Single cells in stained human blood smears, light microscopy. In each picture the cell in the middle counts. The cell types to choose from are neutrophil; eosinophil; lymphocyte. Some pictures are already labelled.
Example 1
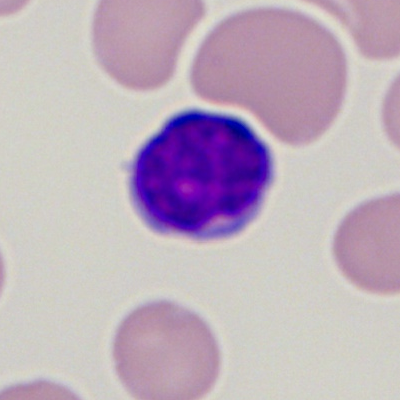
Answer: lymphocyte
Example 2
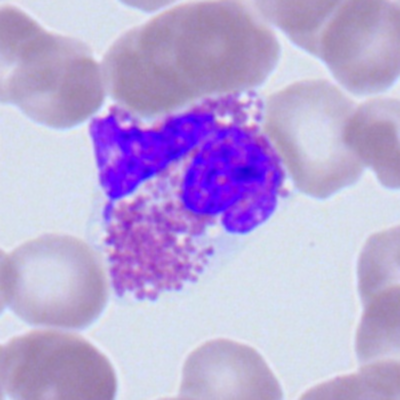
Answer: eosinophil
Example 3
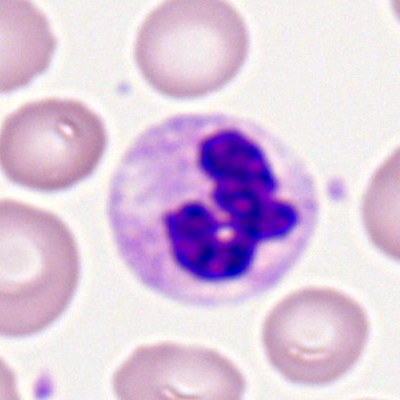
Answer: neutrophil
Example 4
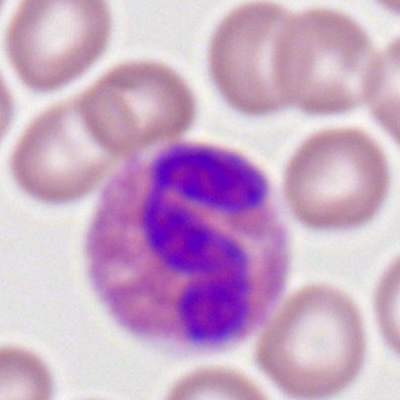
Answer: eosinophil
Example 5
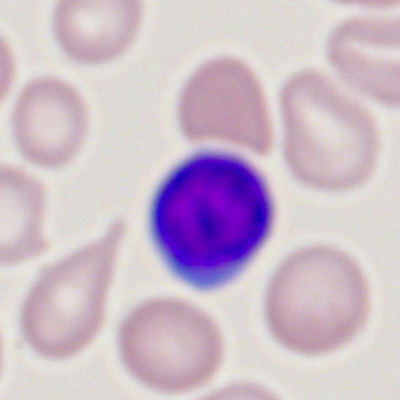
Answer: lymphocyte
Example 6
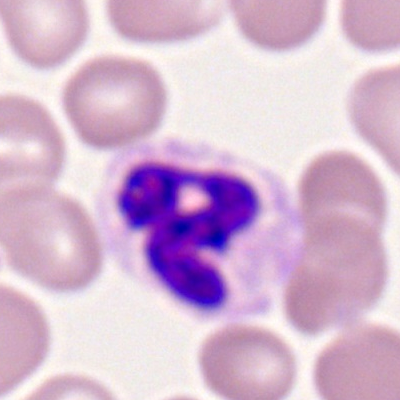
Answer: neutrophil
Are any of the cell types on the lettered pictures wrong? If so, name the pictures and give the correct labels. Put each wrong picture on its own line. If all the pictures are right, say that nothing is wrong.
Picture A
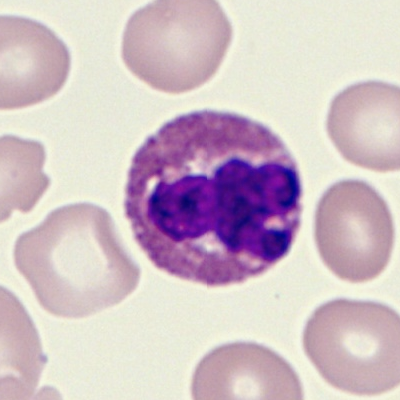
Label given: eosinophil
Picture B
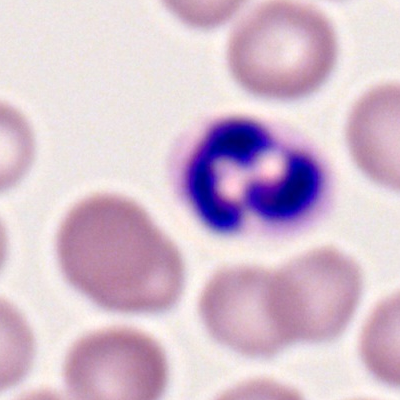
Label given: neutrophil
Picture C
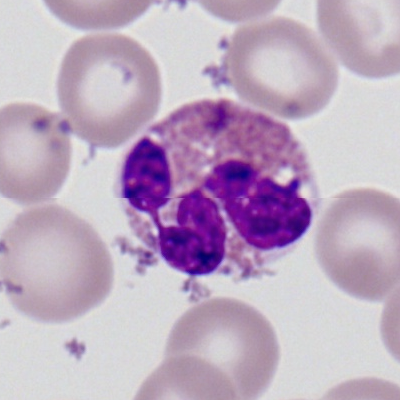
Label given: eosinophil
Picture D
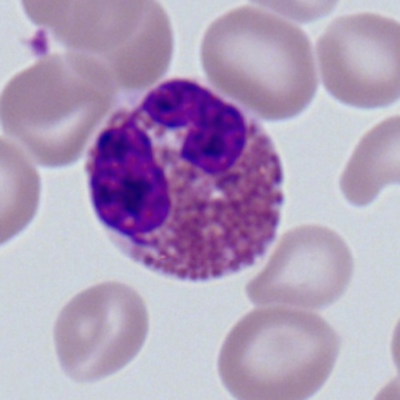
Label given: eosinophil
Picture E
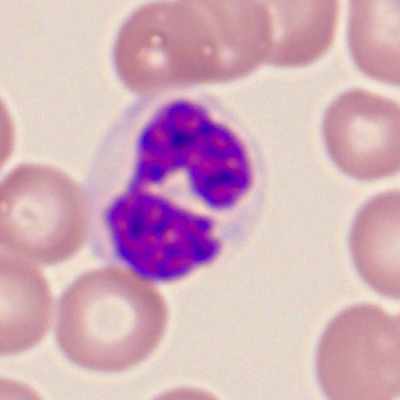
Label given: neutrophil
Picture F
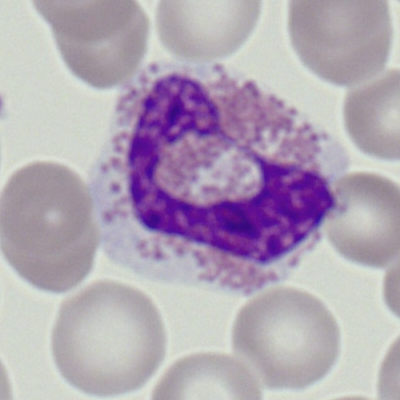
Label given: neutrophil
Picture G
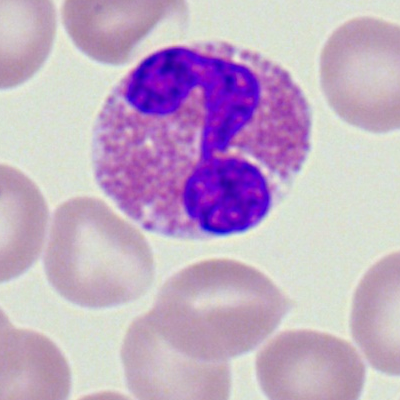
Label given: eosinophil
F is labelled neutrophil; correct label: eosinophil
